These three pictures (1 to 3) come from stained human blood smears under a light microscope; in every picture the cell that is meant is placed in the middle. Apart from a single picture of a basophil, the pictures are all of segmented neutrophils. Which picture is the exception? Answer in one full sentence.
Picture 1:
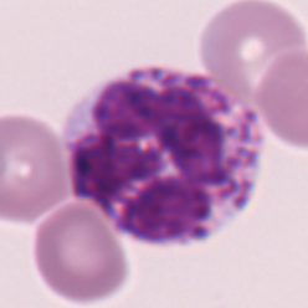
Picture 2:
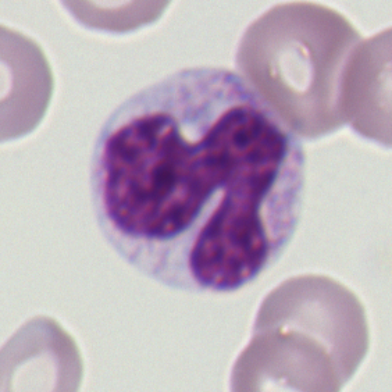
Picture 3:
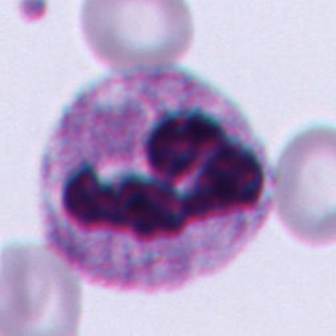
Picture 1 is the one that shows the basophil.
